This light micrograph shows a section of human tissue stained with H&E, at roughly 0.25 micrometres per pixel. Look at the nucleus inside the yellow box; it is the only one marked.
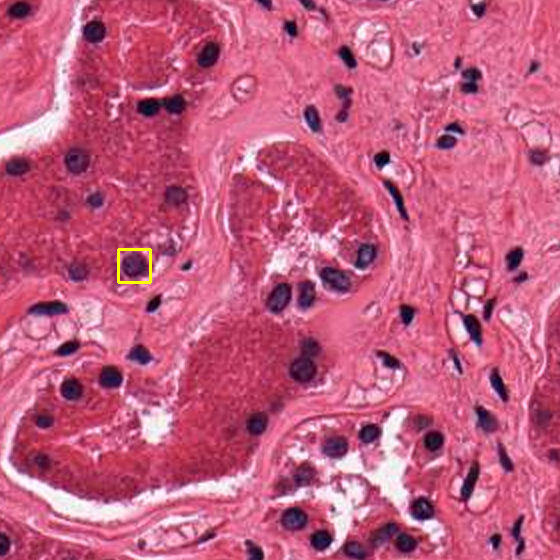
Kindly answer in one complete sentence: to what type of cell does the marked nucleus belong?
The owner of the marked nucleus is a proximal tubule cell.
